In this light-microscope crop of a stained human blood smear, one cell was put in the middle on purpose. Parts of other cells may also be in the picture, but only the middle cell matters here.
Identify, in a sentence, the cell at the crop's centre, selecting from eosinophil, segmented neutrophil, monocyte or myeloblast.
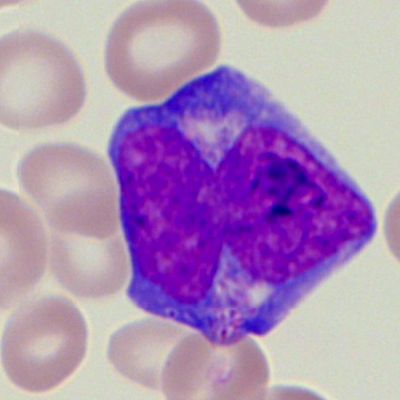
The cell at the central position in this crop is a myeloblast.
